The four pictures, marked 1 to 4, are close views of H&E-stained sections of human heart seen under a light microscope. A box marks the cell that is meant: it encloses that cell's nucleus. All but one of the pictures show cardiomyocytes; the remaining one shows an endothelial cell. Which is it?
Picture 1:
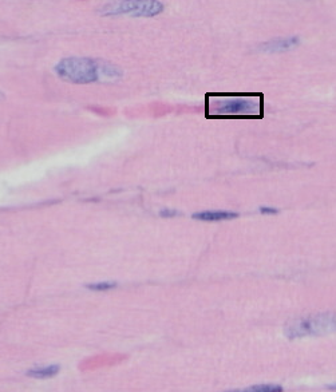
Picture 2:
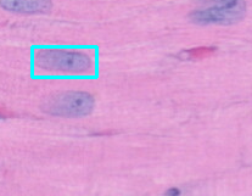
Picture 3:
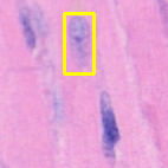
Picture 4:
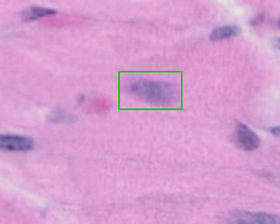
1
